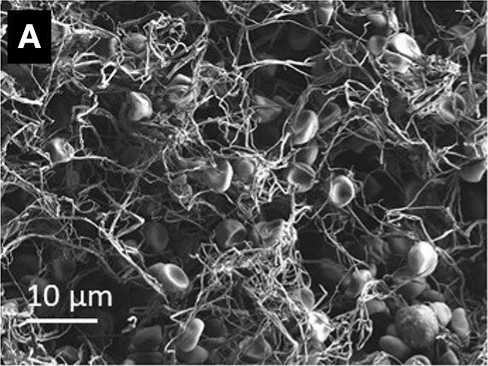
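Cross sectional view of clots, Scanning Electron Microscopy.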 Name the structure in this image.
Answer: Loose fibrin mesh.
